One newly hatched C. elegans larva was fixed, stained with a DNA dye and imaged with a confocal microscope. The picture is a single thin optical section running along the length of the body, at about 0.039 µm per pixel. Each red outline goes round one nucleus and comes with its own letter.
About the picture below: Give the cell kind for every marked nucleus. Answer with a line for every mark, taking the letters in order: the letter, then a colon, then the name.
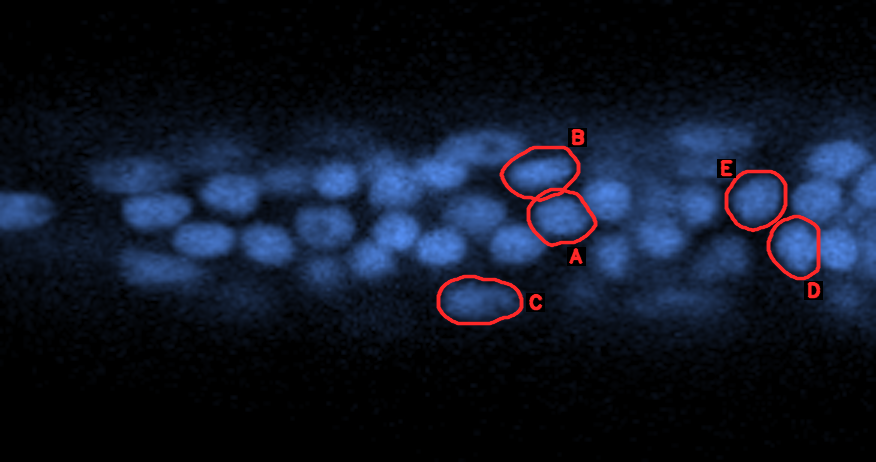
A: neuron
B: glial cell (sheath or socket)
C: body wall muscle cell
D: neuron
E: neuron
